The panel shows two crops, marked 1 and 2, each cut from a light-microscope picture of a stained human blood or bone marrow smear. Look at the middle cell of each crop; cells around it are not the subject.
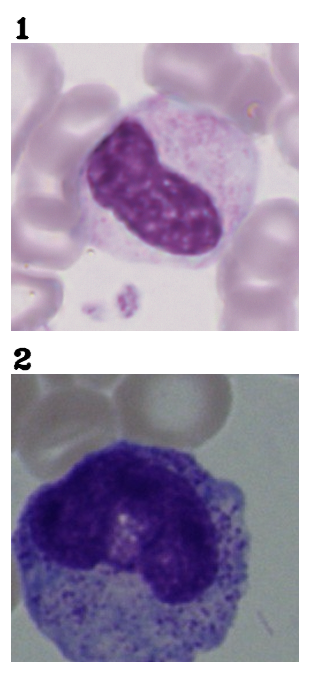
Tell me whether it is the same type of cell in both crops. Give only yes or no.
yes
